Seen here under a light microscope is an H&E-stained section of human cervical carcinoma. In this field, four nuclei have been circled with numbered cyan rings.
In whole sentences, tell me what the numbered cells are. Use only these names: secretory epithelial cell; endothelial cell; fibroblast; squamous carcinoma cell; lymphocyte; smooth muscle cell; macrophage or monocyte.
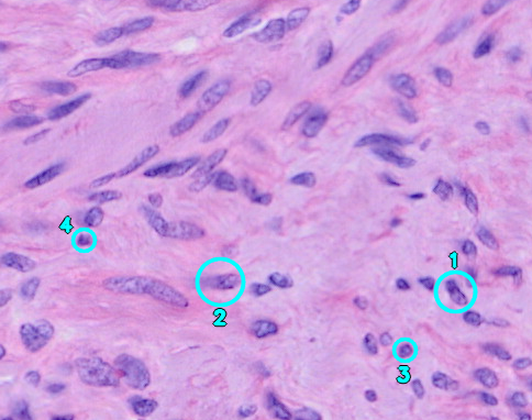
Cell 1 is a fibroblast. Cells 2, 3 and 4 are smooth muscle cells.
